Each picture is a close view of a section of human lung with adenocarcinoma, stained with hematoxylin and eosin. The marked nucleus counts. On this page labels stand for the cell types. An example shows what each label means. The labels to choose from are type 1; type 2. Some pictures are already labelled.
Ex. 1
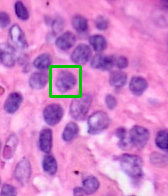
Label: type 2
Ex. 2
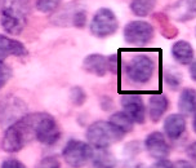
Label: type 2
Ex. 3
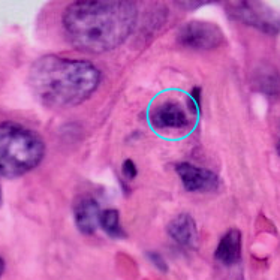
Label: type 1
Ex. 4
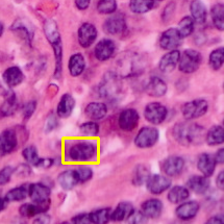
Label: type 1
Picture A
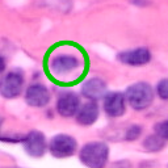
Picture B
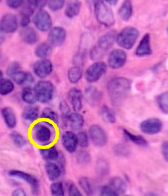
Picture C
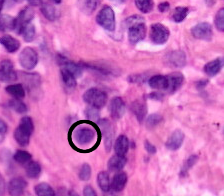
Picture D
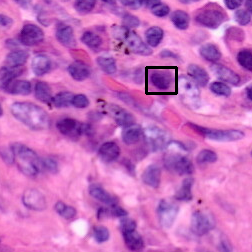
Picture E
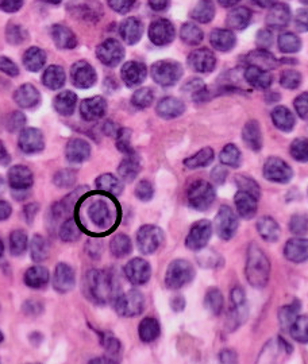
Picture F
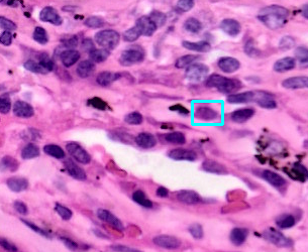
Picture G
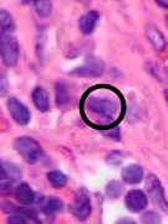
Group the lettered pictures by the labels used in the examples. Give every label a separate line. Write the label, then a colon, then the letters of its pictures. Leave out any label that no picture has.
type 1: D, F, G
type 2: A, B, C, E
